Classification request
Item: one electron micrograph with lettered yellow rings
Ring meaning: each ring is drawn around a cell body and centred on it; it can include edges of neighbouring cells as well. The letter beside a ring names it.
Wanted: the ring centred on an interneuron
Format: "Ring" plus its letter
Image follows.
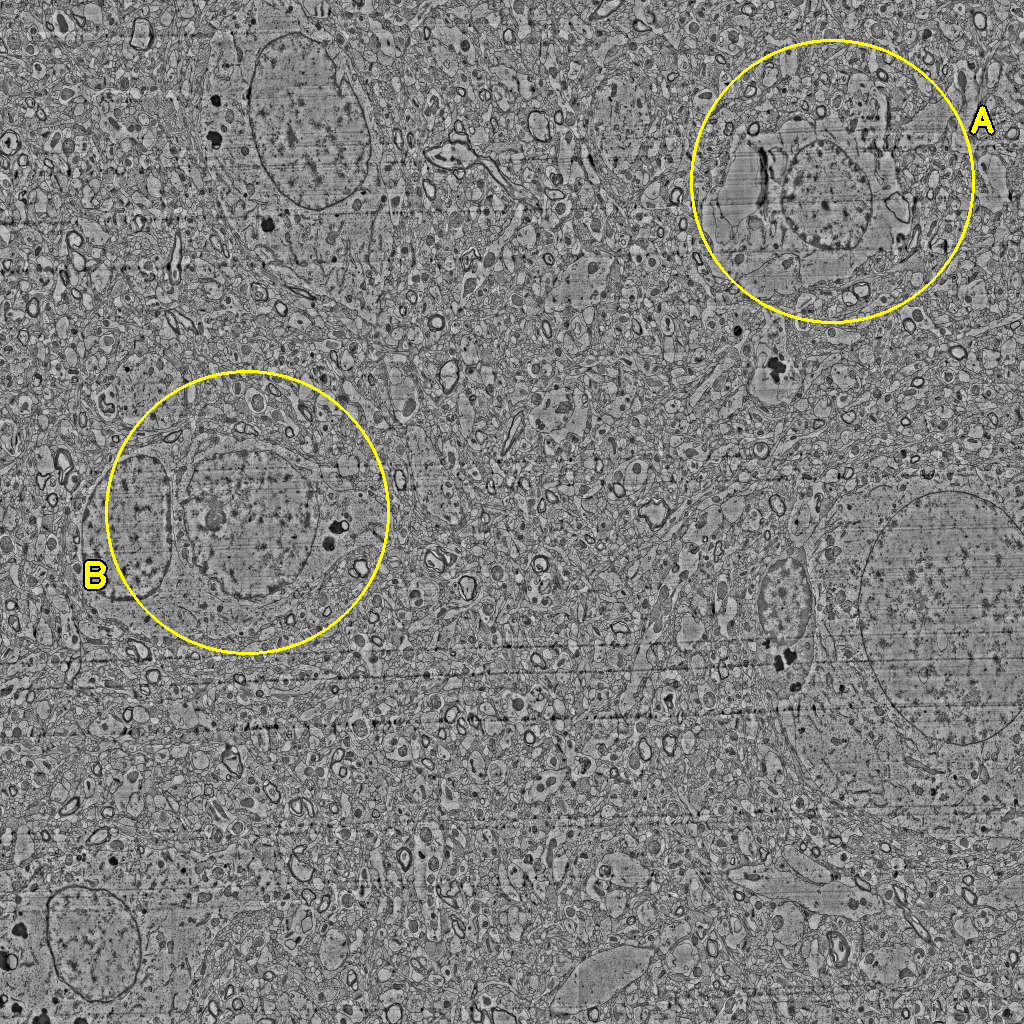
Ring B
